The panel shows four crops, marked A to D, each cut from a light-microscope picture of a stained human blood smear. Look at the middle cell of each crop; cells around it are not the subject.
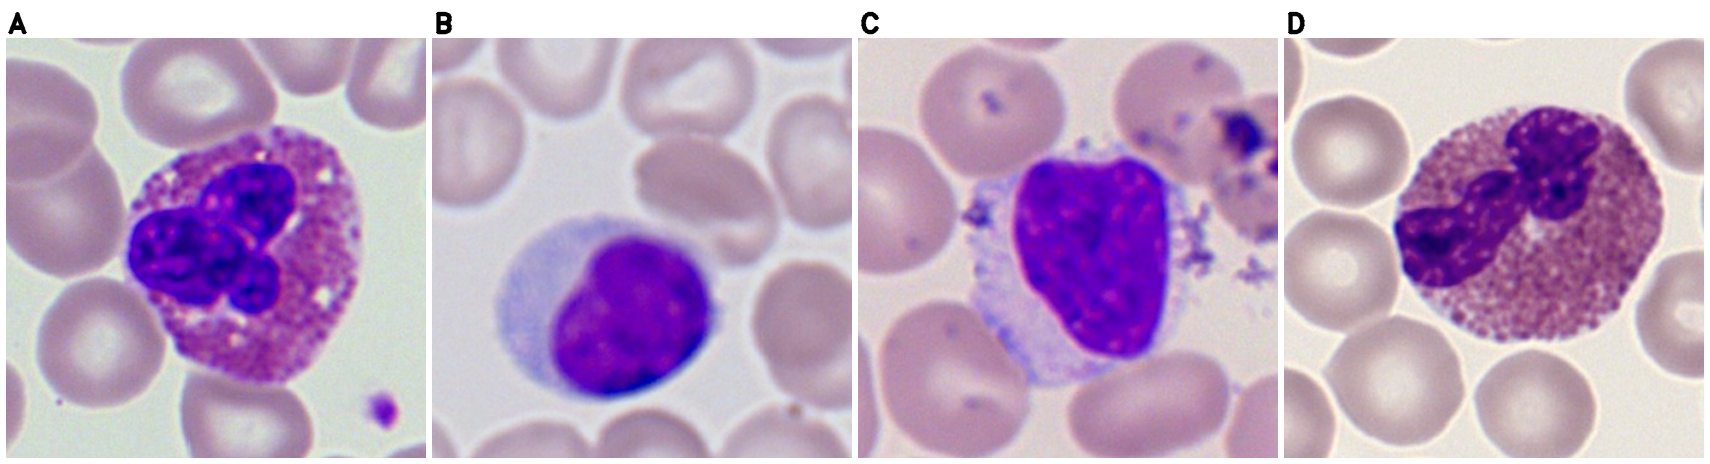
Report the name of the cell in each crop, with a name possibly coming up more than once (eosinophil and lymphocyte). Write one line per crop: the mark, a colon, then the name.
A: eosinophil
B: lymphocyte
C: lymphocyte
D: eosinophil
